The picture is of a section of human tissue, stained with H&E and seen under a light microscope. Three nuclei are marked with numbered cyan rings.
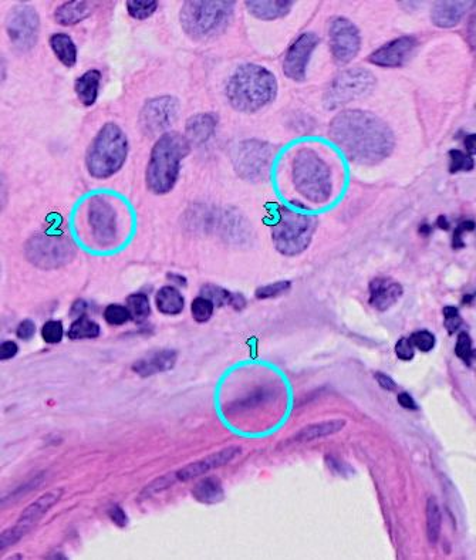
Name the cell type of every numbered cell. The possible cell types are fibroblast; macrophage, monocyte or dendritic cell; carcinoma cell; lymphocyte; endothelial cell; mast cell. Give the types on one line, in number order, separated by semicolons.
endothelial cell; carcinoma cell; carcinoma cell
